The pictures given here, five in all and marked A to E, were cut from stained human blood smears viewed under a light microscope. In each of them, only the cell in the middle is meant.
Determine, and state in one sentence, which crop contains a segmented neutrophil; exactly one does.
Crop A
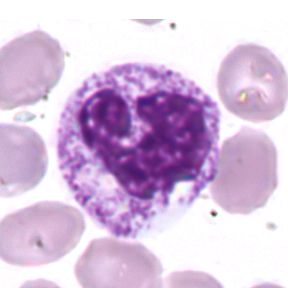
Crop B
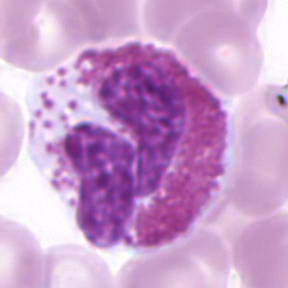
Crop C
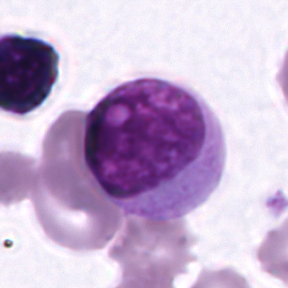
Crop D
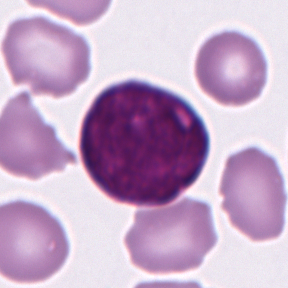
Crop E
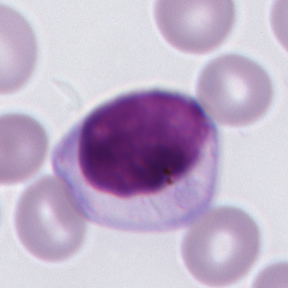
Crop A is where a segmented neutrophil is shown.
